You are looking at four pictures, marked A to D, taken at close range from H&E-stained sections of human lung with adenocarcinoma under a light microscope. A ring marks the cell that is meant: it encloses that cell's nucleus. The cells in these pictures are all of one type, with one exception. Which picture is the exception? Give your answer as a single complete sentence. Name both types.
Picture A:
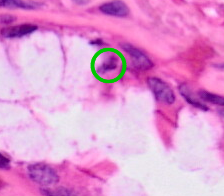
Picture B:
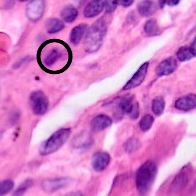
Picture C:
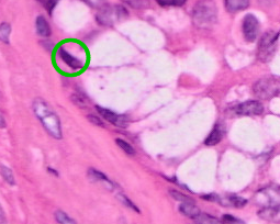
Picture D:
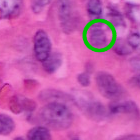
Unlike the rest, which show ciliated epithelial cells, picture B shows a plasma cell.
